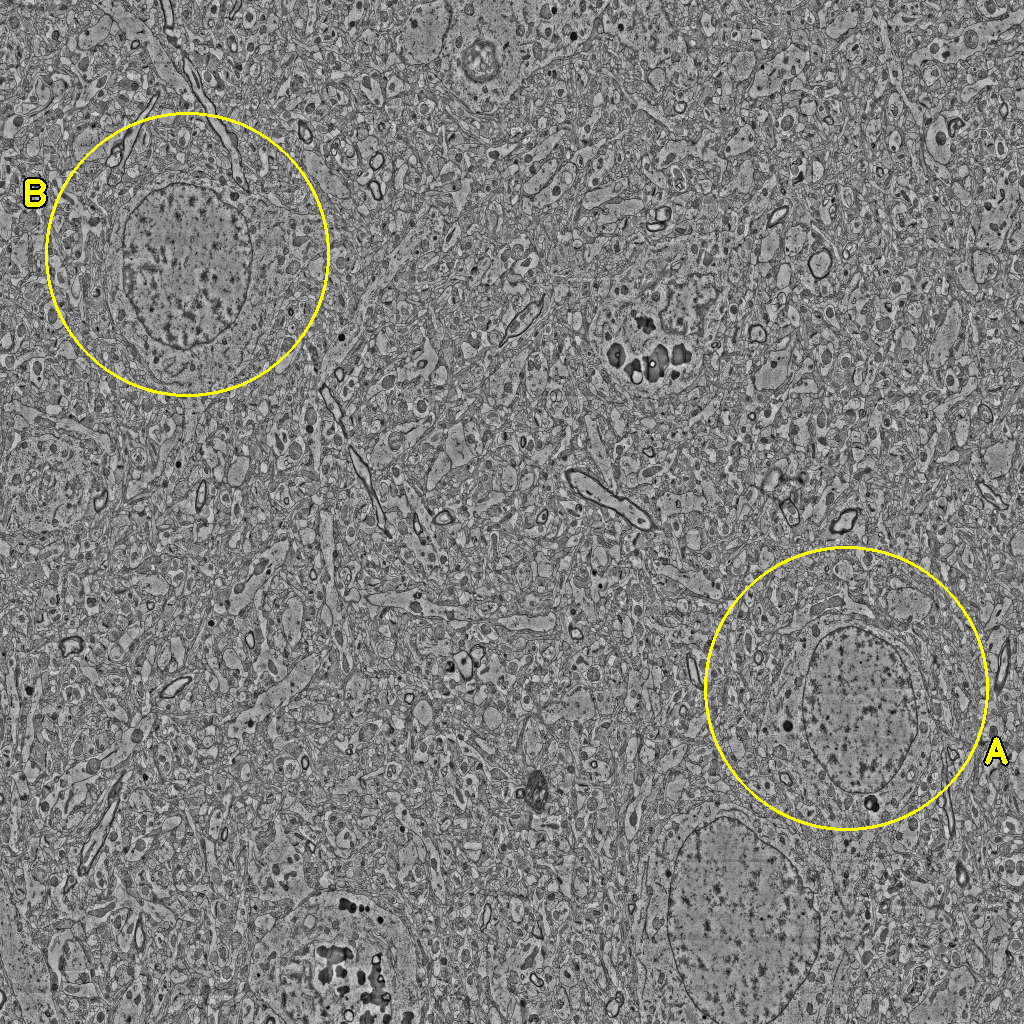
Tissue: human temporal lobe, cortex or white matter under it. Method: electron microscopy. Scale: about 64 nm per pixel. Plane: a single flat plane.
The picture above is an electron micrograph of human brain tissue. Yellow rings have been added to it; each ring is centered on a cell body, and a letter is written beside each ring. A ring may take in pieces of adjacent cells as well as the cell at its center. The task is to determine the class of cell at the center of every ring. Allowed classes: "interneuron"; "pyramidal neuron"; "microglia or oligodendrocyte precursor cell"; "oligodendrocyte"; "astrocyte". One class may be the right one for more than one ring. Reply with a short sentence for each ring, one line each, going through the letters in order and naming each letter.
Ring A is centered on a pyramidal neuron.
Ring B is centered on a pyramidal neuron.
